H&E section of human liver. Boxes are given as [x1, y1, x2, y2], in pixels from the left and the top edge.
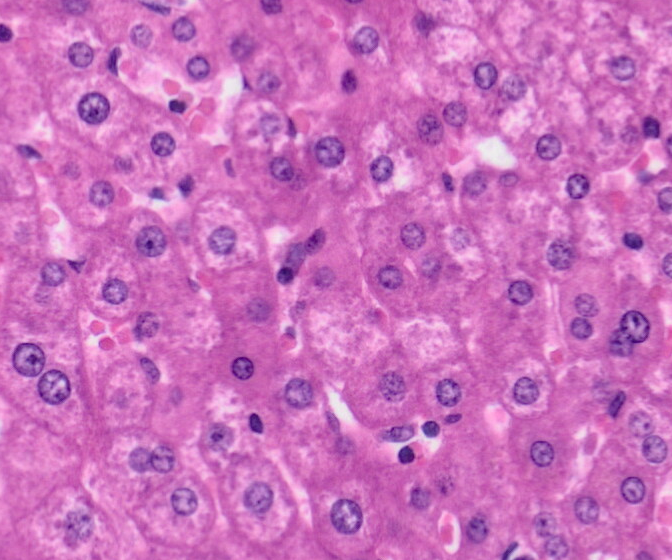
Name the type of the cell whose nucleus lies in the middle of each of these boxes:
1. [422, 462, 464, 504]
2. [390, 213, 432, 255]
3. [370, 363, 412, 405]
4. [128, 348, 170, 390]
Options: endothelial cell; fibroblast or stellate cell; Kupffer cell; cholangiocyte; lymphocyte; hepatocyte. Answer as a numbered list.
1. hepatocyte
2. hepatocyte
3. hepatocyte
4. Kupffer cell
